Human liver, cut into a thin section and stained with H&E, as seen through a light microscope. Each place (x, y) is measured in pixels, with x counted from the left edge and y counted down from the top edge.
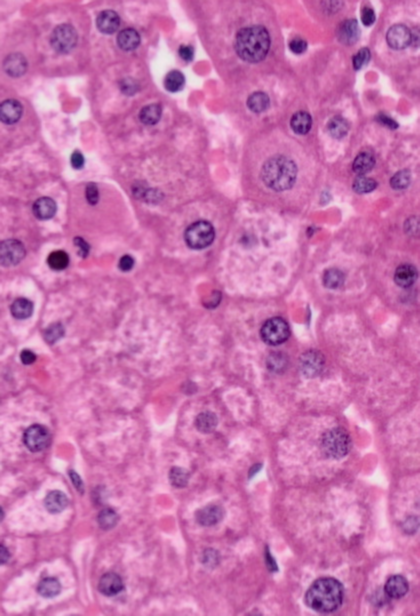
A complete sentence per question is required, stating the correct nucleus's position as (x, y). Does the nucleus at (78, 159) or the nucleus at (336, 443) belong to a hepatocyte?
That would be the nucleus at (336, 443); it belongs to a hepatocyte.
